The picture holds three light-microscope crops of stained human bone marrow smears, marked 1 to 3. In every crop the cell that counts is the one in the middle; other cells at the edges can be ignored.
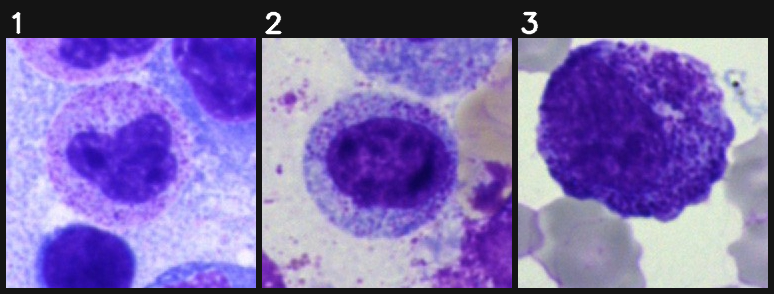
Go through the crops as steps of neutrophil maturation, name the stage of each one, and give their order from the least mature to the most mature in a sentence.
Taken from least to most mature, the sequence is crop 3 (a promyelocyte), crop 2 (a myelocyte) and crop 1 (a segmented neutrophil).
